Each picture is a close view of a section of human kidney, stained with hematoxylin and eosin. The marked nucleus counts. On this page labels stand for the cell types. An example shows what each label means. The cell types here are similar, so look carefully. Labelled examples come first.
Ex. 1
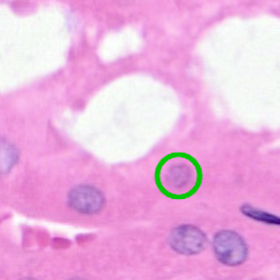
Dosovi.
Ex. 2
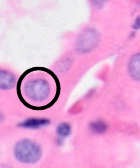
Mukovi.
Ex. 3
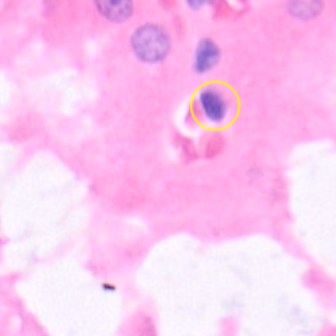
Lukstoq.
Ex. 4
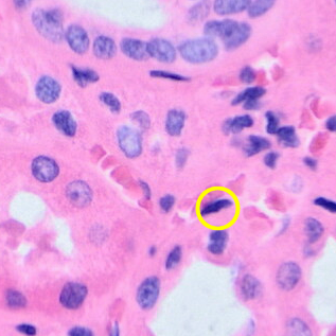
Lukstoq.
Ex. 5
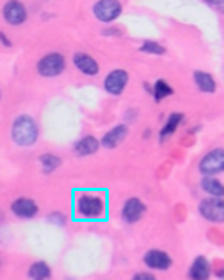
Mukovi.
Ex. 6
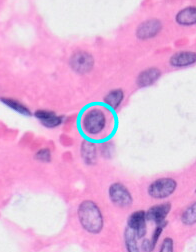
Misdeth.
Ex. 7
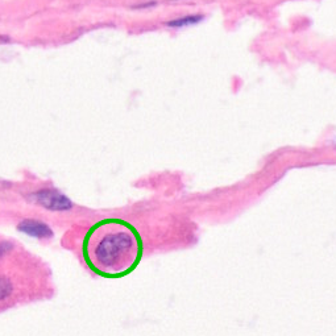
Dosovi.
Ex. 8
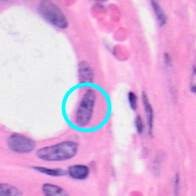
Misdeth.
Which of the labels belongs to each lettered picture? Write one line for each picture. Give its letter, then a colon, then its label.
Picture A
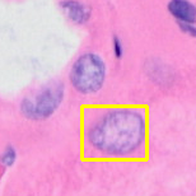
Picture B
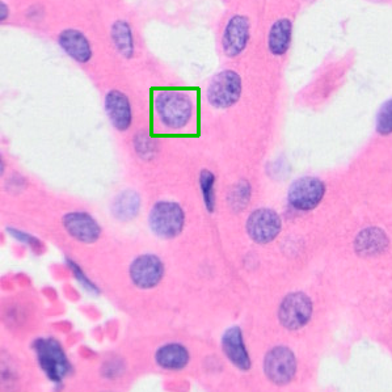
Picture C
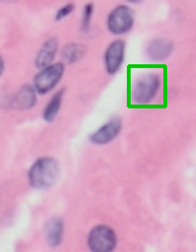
A: Dosovi.
B: Mukovi.
C: Misdeth.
